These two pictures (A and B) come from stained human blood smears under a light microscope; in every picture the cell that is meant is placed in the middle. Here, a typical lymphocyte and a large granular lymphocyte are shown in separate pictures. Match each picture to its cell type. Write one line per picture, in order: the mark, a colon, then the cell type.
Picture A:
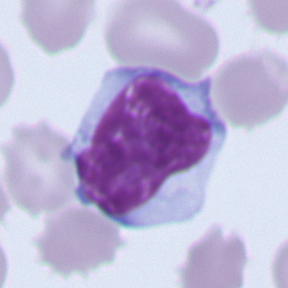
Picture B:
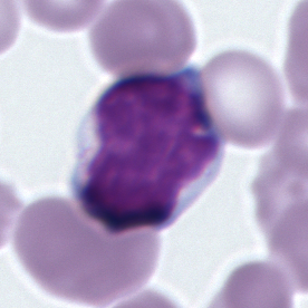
A: typical lymphocyte
B: large granular lymphocyte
